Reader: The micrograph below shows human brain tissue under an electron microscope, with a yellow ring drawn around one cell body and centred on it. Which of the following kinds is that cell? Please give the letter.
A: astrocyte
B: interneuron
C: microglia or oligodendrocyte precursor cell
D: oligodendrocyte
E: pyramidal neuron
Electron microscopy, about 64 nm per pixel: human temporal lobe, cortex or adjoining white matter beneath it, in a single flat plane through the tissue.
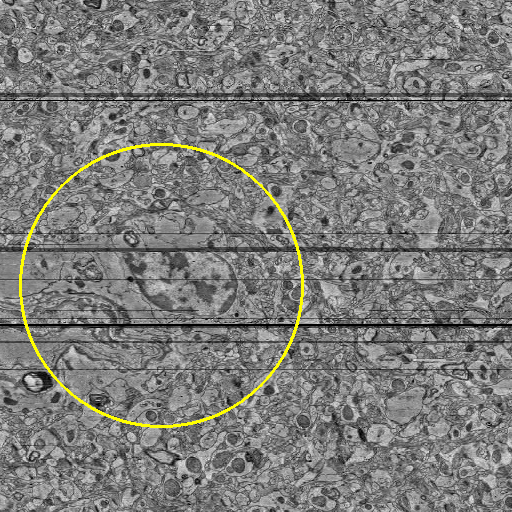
C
